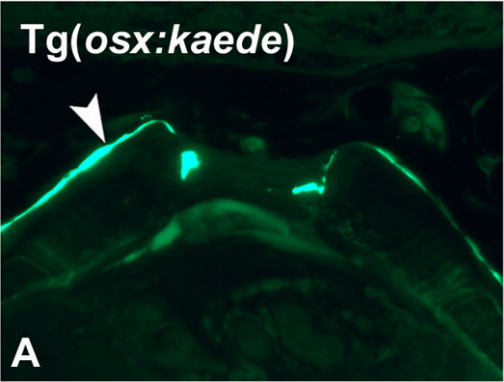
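This is a section through adjacent vertebral end plates, where two tapering bony edges meet across a narrow intervertebral gap, lined by a layer of osteoblasts. The osteoblasts appear as a thin, intensely bright green band along the outer surface of the left end plate and a fainter green line along the right one. Small bright green clusters sit in the gap between the two end plates. The surrounding tissue shows only dim, diffuse green background.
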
